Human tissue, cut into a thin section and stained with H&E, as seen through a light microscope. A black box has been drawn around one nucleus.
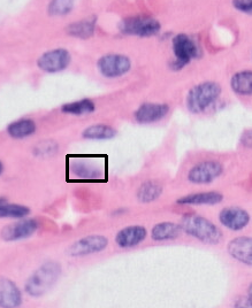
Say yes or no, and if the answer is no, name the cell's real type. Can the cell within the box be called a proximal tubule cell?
No, it is a loop of Henle or distal tubule cell.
